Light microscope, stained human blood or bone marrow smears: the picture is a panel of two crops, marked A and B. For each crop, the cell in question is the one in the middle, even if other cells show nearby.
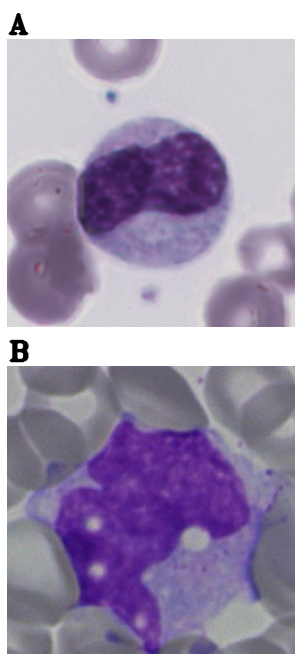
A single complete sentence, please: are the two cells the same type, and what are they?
No, the cell of interest in crop A is a metamyelocyte, and in crop B it is a monocyte.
